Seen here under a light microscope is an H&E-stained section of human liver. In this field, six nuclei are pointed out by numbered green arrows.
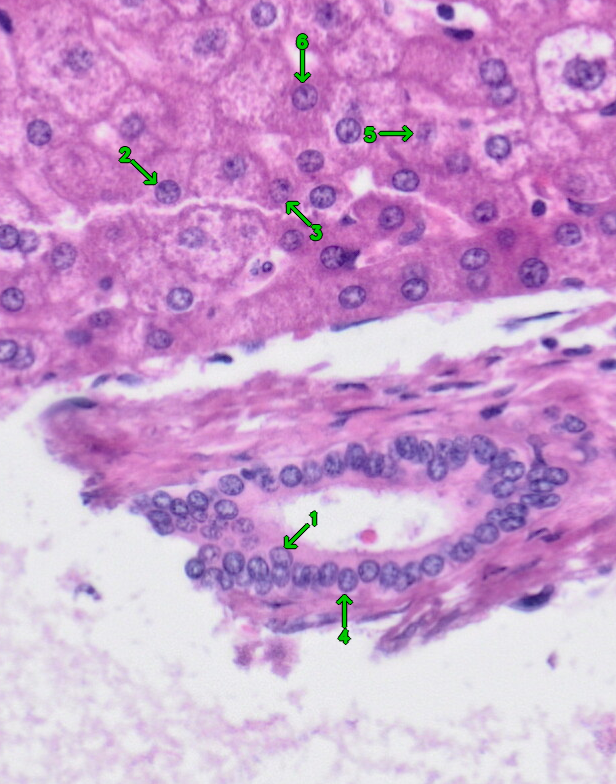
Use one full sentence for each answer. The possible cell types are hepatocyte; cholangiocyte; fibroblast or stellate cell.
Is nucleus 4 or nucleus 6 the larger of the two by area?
Nucleus 6 is the larger one, covering about 1.5 times the area of nucleus 4.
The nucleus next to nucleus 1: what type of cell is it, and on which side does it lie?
It is a cholangiocyte, whose nucleus lies below nucleus 1.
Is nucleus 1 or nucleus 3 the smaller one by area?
Number 1 is smaller, since number 3 takes up about 2 times as much area.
